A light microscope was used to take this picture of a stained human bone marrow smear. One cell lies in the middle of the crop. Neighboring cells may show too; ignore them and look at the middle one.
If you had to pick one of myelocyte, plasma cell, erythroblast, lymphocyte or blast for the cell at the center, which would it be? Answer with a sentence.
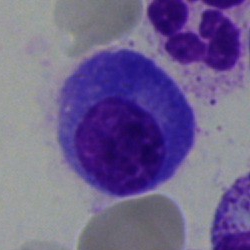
Present in the middle of the crop is a plasma cell.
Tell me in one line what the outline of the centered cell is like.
No projections interrupt the outline; it is smooth all the way round.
